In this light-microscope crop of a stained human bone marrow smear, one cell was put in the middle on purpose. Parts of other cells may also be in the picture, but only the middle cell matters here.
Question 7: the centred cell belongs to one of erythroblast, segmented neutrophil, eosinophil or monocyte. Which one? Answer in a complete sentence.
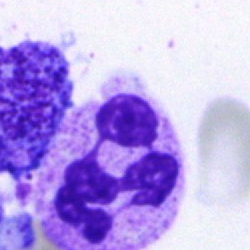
In this crop, the cell at the very middle is a segmented neutrophil.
